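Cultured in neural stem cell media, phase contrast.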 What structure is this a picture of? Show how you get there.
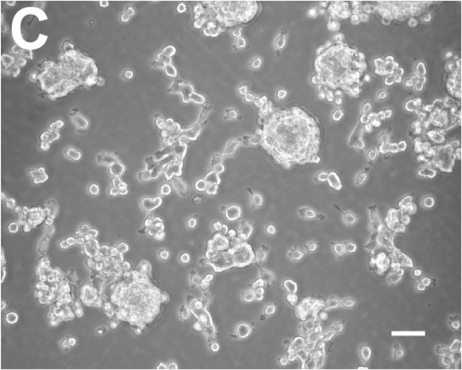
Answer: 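Semi-attached spheres. Several large rounded multicellular clusters stand out from the dish. Smaller clumps and single round cells lie between the clusters. The clusters are phase-bright and three-dimensional rather than flat.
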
